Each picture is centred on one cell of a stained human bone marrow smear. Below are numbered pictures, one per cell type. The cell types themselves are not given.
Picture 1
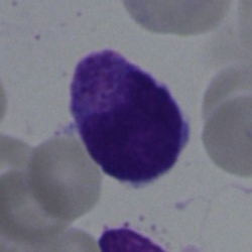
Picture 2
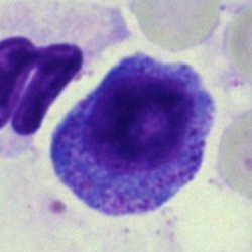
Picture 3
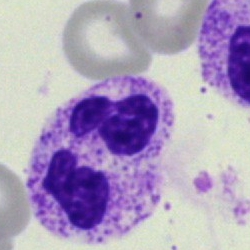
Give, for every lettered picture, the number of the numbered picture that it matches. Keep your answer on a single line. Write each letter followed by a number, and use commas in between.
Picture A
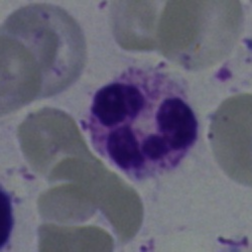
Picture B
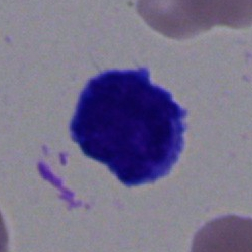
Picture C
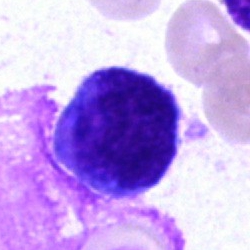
A 3, B 1, C 1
